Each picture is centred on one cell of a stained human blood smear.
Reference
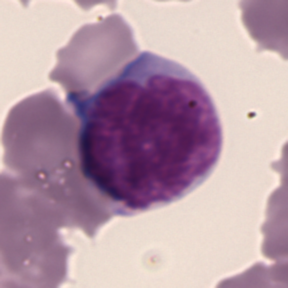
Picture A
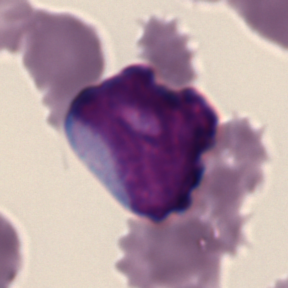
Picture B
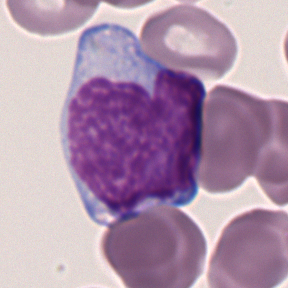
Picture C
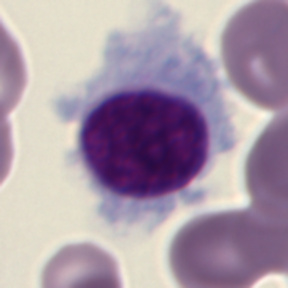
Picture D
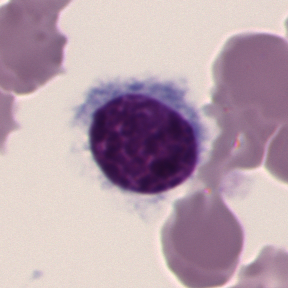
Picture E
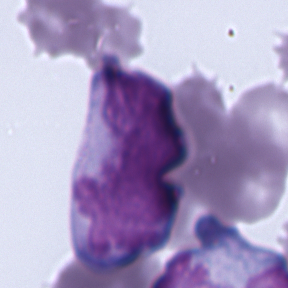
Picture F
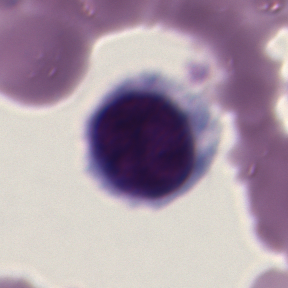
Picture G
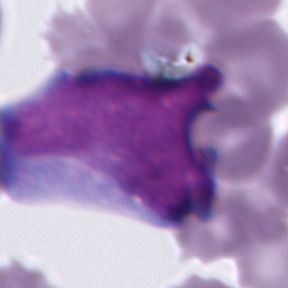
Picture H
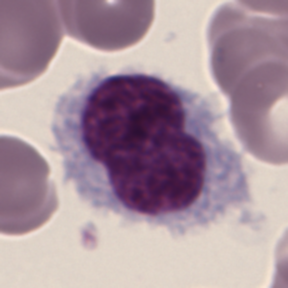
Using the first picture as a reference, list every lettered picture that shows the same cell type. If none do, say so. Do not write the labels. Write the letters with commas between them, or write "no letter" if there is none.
A, B, E, G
